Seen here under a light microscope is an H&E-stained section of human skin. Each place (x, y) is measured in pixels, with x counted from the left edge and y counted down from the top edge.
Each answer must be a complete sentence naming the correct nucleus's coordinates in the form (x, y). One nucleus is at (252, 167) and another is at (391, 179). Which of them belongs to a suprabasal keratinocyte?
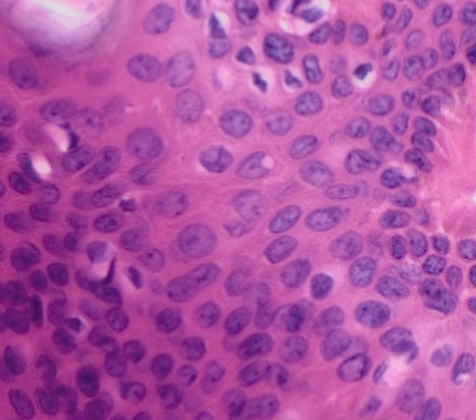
Of the two nuclei, it is the one at (252, 167) that lies within a suprabasal keratinocyte.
